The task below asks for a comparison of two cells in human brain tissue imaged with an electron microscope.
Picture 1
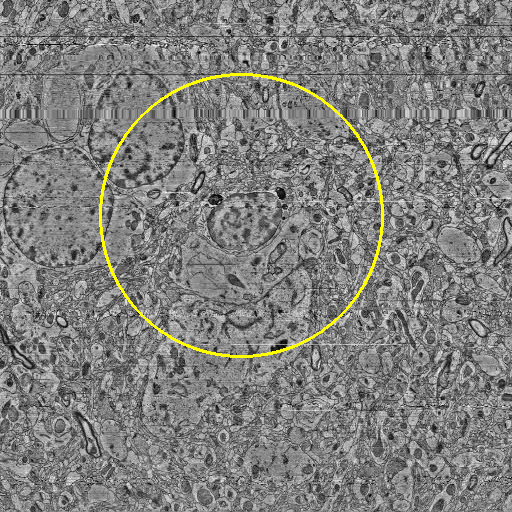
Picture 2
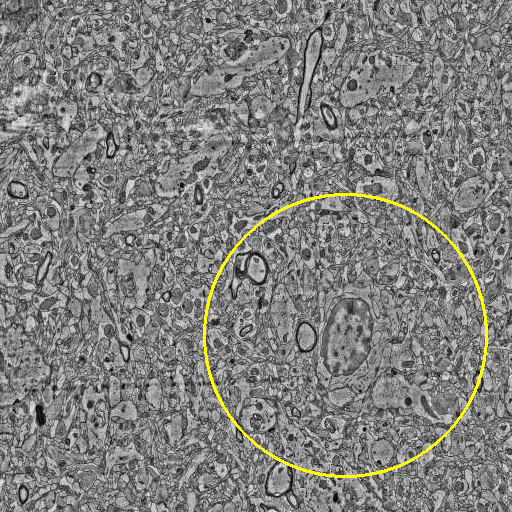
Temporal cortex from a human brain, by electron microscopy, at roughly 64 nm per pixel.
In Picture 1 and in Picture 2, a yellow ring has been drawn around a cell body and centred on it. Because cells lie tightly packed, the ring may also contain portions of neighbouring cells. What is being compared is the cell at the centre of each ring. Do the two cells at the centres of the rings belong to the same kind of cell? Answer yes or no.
yes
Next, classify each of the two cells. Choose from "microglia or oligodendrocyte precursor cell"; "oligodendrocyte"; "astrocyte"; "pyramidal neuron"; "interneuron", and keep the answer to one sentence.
In the first picture and in the second, the ring is centred on a microglial cell or oligodendrocyte precursor cell.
